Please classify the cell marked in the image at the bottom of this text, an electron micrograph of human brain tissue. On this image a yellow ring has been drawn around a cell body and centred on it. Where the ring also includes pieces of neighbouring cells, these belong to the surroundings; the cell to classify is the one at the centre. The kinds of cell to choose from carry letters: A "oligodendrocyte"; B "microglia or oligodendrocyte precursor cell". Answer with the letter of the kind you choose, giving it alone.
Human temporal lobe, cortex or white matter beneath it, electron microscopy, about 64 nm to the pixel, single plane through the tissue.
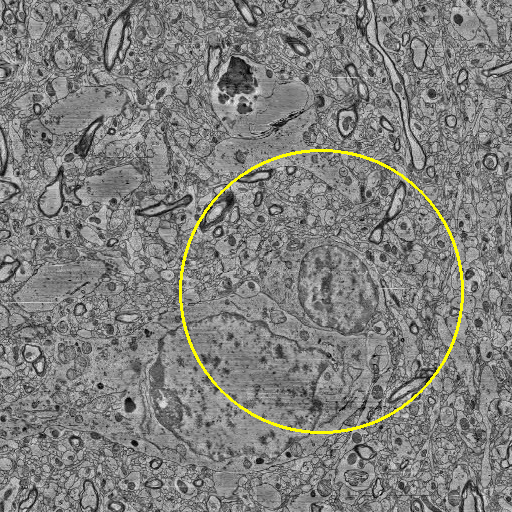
A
